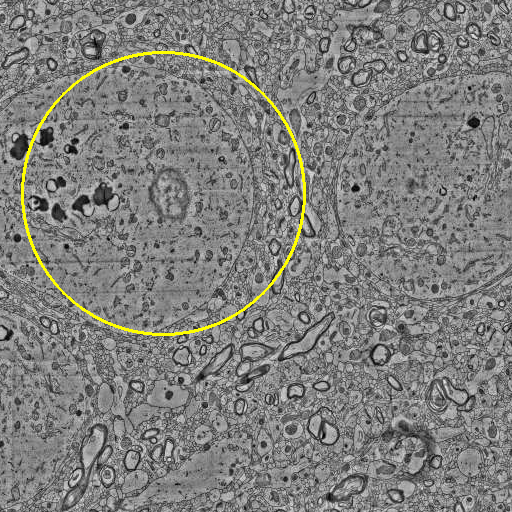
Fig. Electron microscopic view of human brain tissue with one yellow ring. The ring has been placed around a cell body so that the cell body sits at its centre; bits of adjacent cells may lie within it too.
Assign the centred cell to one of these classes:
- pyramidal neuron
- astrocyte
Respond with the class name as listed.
pyramidal neuron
